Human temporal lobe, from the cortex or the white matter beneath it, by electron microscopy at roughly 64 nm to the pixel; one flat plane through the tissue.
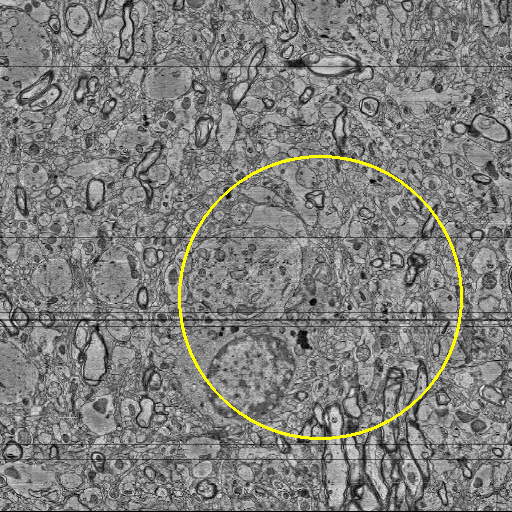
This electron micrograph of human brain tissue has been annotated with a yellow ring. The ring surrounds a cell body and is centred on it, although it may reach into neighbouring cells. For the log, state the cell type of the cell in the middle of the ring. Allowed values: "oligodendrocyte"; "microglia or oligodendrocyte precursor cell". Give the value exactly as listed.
oligodendrocyte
